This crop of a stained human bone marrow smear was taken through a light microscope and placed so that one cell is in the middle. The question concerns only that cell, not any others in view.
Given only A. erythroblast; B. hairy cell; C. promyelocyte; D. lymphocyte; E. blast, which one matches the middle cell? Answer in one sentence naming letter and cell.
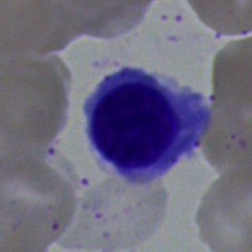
The middle cell of the crop is an erythroblast; accordingly, option A is correct.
